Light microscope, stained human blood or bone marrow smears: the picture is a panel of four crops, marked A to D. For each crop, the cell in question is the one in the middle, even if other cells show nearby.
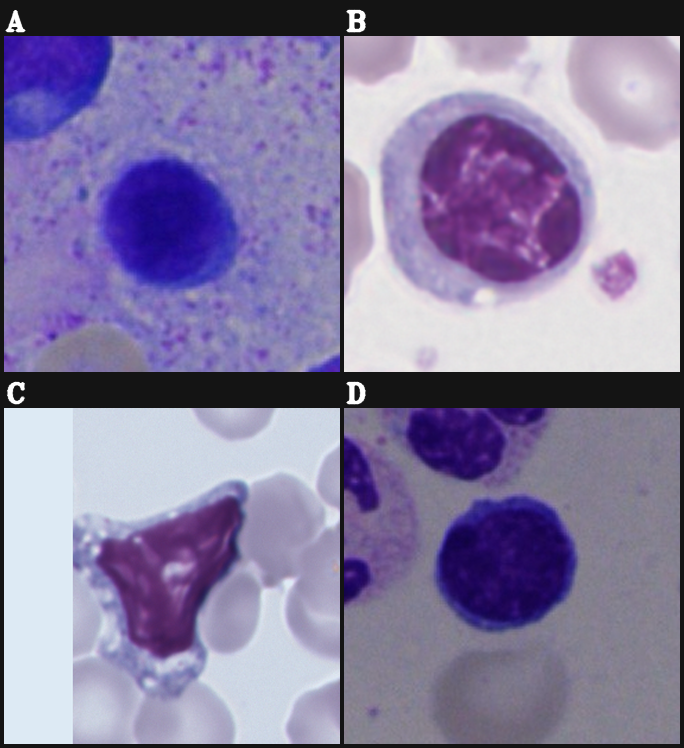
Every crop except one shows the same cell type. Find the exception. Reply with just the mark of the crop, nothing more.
B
